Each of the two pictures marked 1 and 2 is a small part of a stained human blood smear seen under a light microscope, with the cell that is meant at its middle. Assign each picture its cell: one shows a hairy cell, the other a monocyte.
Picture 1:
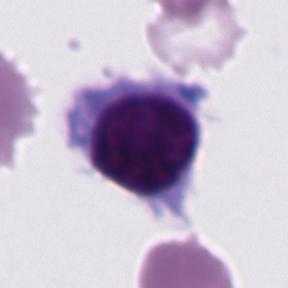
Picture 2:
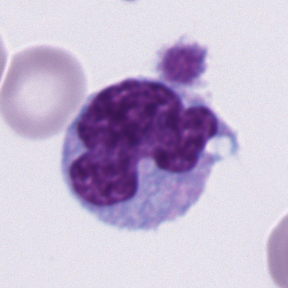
1: hairy cell
2: monocyte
